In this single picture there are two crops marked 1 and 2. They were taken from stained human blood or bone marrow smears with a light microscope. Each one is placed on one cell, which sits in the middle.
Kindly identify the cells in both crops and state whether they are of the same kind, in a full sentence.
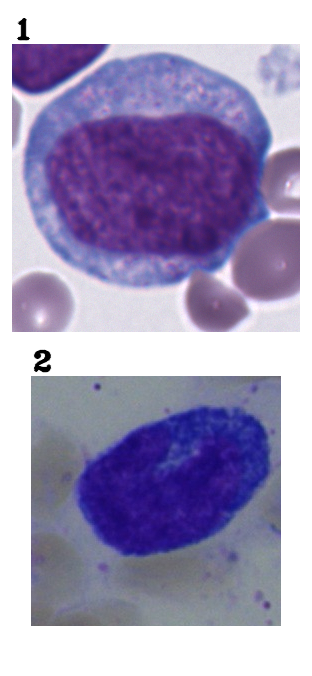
Yes, both crops alike show promyelocytes at the centre.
